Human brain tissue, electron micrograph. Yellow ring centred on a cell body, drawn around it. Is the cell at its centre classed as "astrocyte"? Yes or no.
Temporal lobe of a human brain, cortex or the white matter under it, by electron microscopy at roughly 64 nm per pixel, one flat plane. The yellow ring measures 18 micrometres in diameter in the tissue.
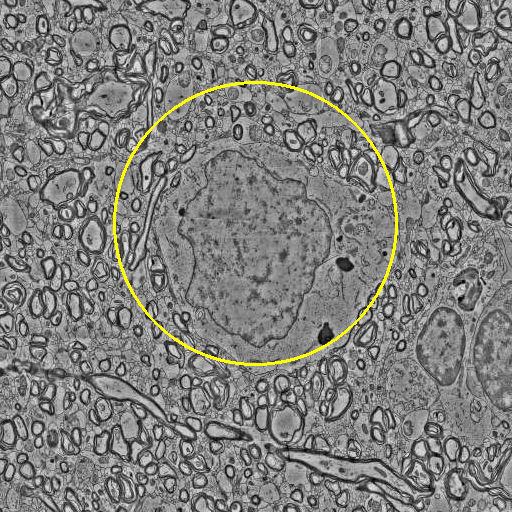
No, it is classed as another kind.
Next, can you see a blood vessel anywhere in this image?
No, no vessel appears in the picture.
